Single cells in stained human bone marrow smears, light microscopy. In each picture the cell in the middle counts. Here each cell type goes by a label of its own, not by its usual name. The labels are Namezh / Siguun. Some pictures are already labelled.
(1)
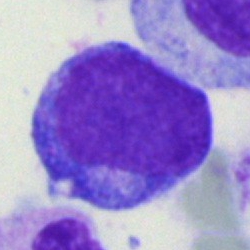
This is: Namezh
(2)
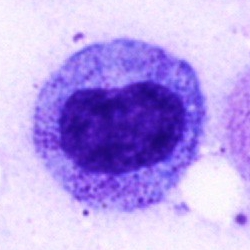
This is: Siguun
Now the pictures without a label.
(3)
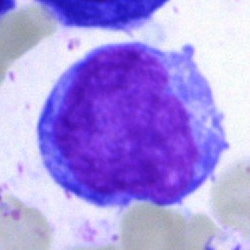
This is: Namezh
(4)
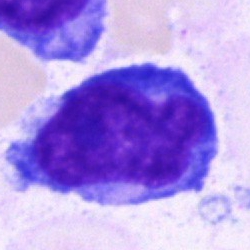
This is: Namezh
